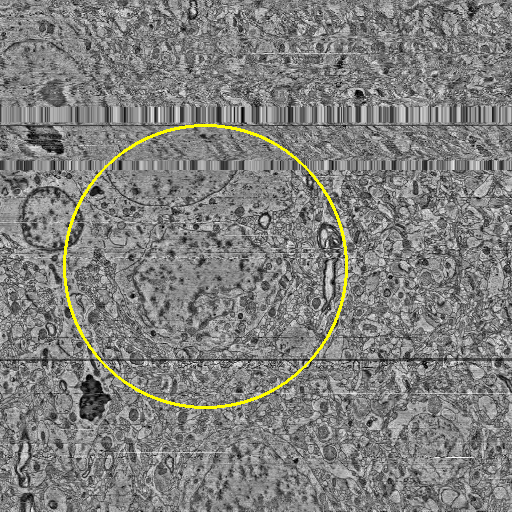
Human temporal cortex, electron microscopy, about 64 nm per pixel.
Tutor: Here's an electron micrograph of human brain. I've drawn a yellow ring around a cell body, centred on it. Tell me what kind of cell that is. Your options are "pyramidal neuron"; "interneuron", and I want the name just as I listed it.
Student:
interneuron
